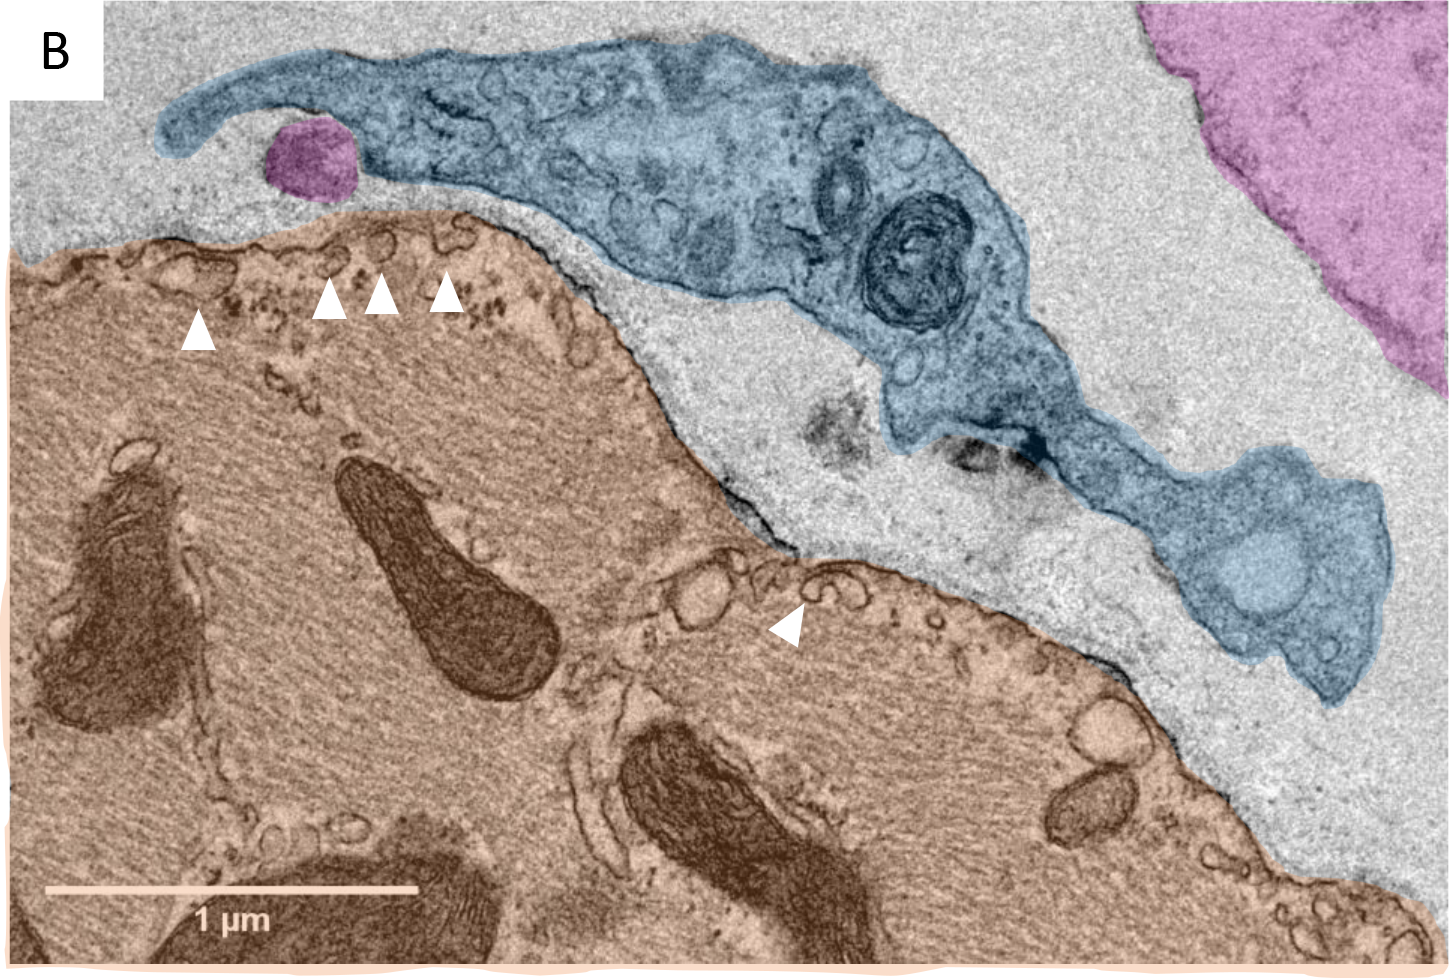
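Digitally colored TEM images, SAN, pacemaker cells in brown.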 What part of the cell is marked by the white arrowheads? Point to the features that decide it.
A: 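Small round flask-shaped vesicles lie along the plasma membrane of the brown cell. The vesicles open toward or lie just under the cell surface facing the blue cell. On this evidence: caveolae.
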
